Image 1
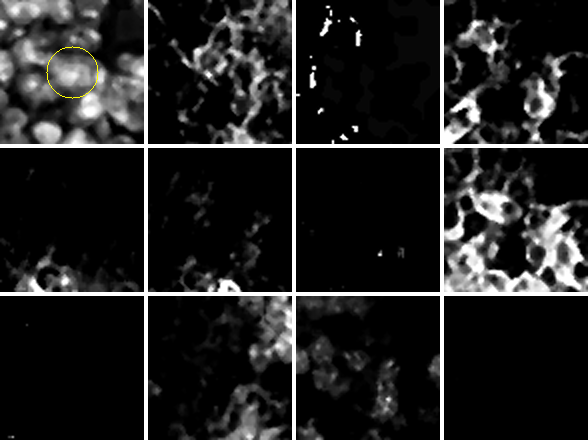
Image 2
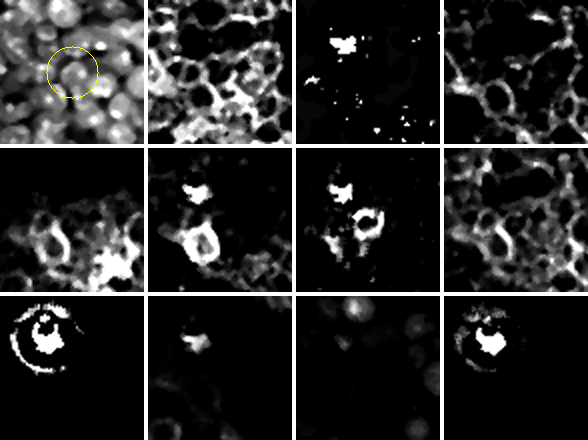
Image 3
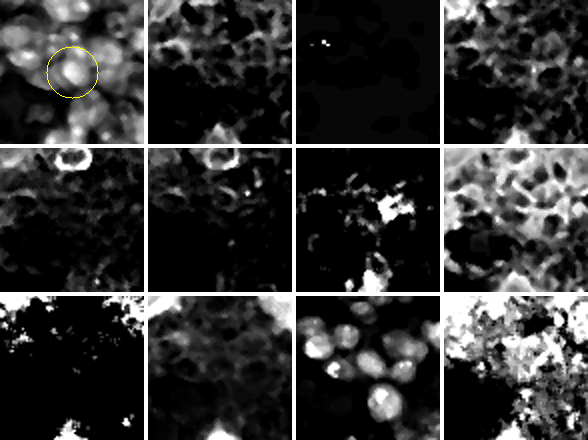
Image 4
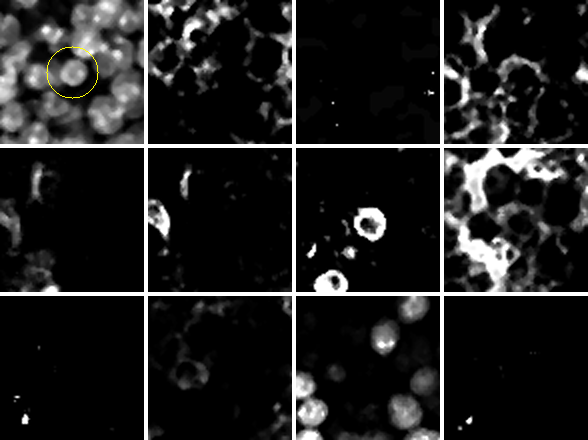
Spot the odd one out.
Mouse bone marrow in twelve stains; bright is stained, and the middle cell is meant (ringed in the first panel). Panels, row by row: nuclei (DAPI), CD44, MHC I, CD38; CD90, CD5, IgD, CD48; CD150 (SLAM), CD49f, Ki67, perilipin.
Picture 1 (a neutrophil among B cells).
